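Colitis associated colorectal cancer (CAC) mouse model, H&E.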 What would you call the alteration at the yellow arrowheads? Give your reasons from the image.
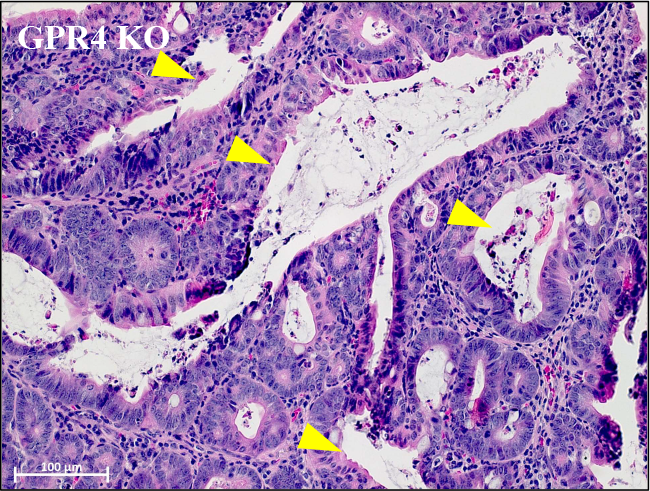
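A large pale, cell-poor space with wispy debris runs through the tissue. Scattered loose cells and fragments lie within the pale spaces. The answer: necrotic areas.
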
